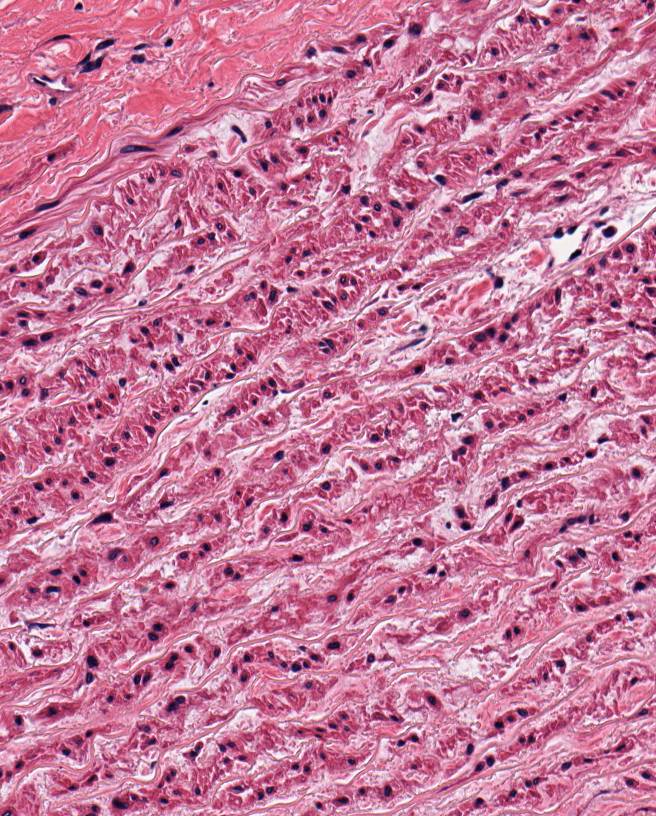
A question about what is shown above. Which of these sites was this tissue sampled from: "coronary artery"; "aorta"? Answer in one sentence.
The site this tissue was sampled from is the aorta.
